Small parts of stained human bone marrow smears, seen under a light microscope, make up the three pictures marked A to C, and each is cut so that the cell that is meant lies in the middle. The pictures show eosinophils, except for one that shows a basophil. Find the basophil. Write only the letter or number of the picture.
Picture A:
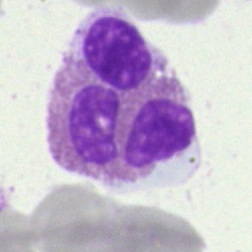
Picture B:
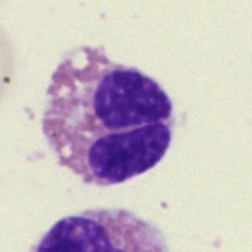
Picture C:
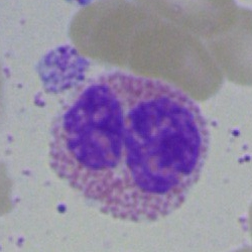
B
